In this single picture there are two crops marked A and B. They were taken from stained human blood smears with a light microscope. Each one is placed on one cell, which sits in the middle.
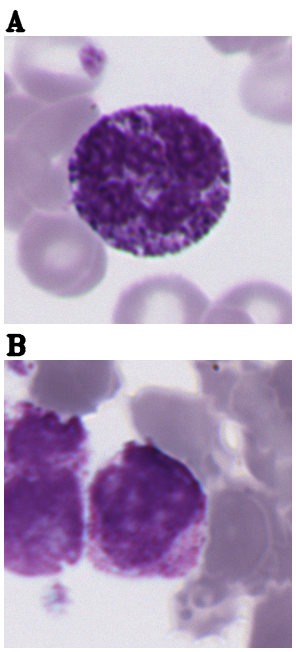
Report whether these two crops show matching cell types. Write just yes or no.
yes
